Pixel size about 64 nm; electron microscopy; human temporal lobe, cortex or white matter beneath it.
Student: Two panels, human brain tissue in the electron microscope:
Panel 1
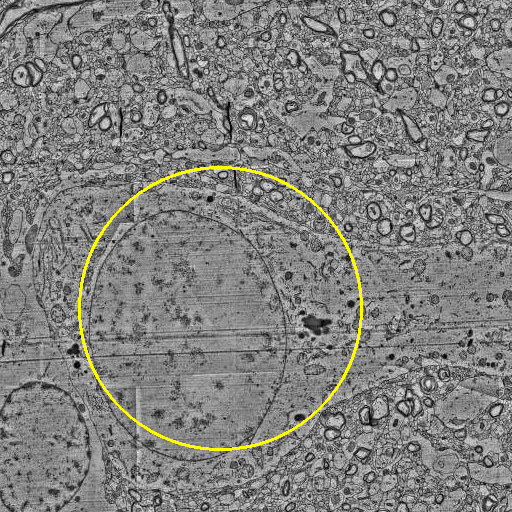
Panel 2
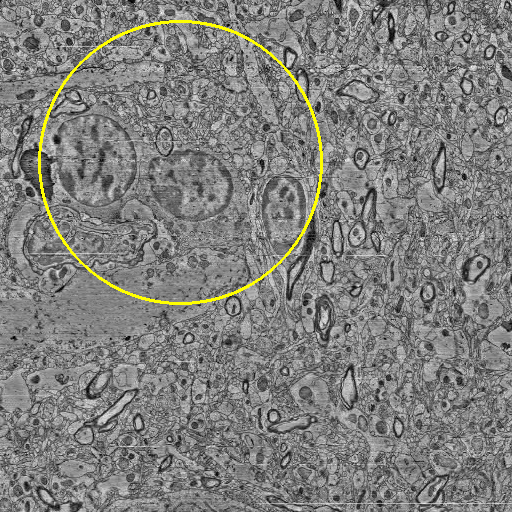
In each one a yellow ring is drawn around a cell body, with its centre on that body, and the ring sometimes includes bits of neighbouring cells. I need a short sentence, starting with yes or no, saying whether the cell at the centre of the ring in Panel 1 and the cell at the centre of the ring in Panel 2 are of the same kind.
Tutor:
No, they are two kinds of cell.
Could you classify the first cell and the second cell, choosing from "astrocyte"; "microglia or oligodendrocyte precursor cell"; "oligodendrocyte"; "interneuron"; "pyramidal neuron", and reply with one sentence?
The second cell is an oligodendrocyte, while the first is a pyramidal neuron.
